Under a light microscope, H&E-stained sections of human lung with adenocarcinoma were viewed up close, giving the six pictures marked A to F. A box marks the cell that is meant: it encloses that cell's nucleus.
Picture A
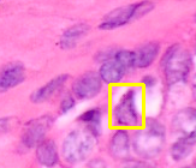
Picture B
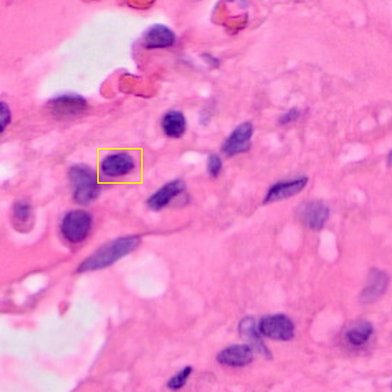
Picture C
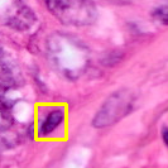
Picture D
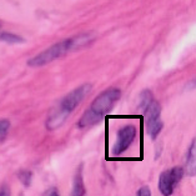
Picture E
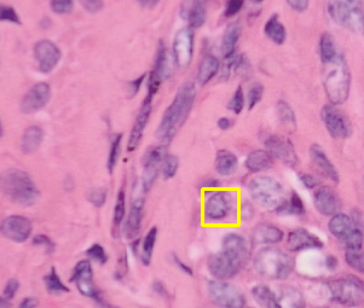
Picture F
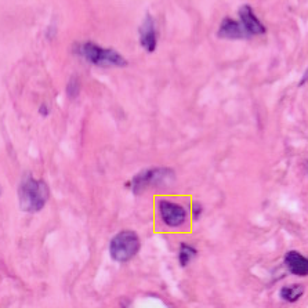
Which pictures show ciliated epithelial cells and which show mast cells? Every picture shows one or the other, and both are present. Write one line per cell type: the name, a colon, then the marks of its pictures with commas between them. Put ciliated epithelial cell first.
ciliated epithelial cell: A, C, E
mast cell: B, D, F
